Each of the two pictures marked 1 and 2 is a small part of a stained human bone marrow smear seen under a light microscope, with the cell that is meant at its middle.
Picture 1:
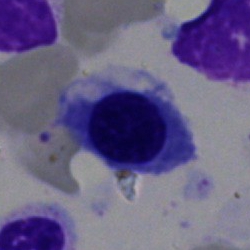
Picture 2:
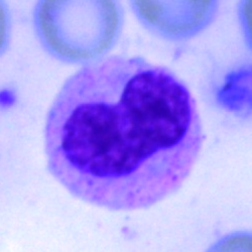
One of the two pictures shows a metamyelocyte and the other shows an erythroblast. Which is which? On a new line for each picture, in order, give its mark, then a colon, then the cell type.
1: erythroblast
2: metamyelocyte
